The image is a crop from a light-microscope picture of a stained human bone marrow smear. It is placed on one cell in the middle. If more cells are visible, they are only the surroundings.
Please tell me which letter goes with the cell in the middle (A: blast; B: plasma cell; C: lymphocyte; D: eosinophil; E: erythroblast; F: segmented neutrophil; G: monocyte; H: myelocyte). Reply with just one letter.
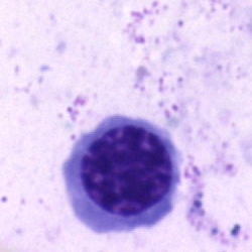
E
